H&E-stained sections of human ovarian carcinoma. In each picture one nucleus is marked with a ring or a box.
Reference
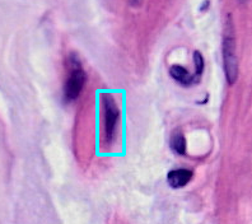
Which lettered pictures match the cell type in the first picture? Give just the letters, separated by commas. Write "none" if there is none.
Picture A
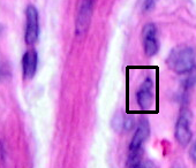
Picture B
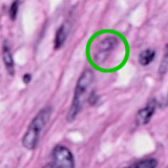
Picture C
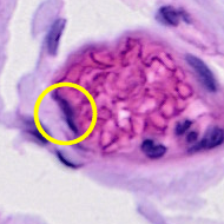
none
